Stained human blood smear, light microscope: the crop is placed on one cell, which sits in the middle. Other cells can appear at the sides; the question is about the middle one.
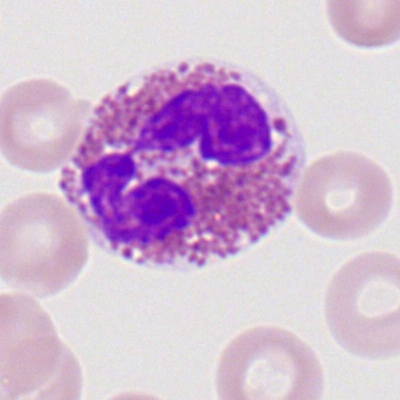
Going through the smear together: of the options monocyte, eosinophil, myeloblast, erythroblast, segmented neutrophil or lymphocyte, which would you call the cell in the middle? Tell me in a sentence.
Present in the middle of the crop is an eosinophil.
